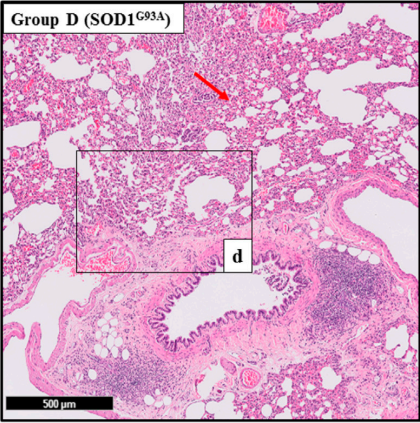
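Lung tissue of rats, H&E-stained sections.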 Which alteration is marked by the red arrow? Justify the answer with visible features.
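Near the arrow the alveolar spaces are collapsed and the parenchyma is dense and cellular. Elsewhere in the same field some air spaces are enlarged and irregular.
Answer: atelectasis and emphysema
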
